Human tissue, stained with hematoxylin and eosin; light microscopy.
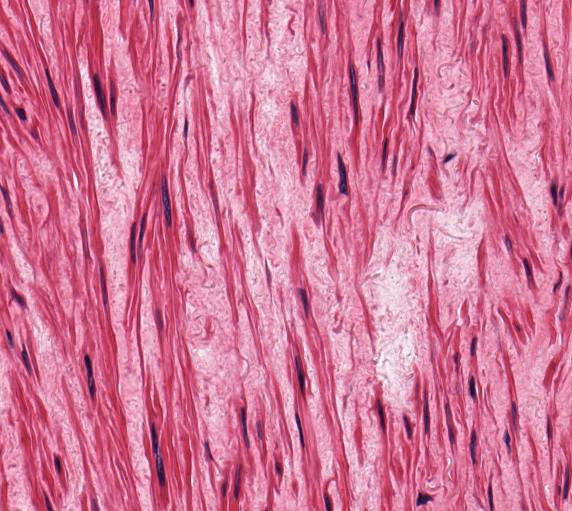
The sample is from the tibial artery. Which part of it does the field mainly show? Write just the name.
tunica media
